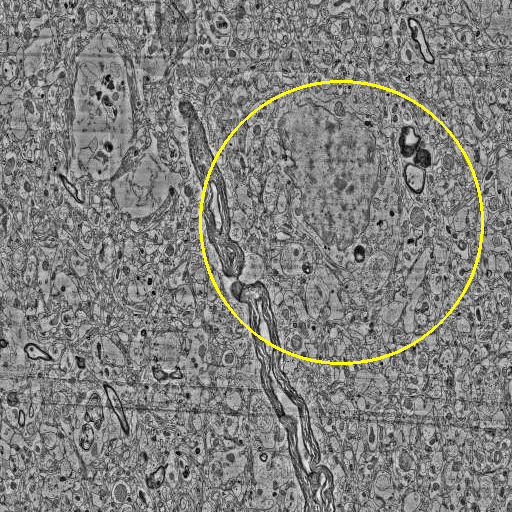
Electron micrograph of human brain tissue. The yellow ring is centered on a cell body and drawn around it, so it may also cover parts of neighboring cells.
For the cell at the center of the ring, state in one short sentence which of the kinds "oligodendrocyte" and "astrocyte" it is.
This ring is centered on an oligodendrocyte.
